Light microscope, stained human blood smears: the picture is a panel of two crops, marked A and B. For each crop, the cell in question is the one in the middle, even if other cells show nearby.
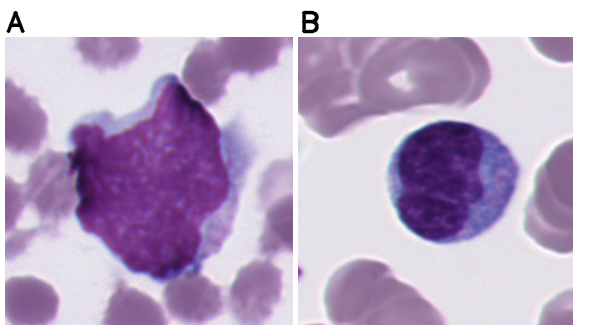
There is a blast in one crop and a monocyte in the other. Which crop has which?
A: blast
B: monocyte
